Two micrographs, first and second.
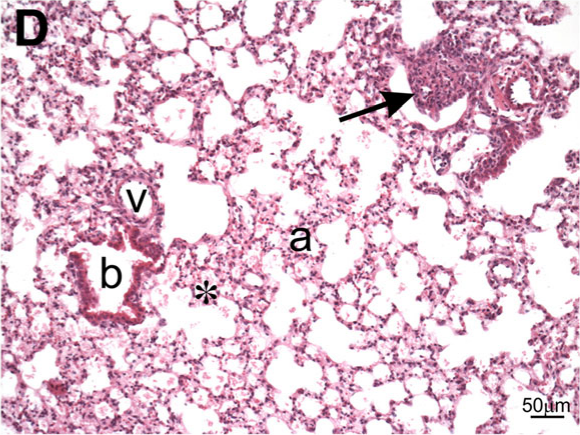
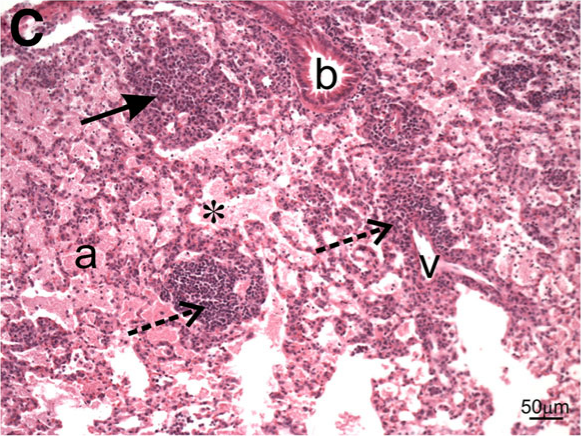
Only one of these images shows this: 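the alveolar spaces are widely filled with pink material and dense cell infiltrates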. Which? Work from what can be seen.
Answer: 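The second image. First image: most alveoli are open and air-filled, with one small cell cluster. Second image: much of the parenchyma is consolidated by pink amorphous material and dense purple cell aggregates.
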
